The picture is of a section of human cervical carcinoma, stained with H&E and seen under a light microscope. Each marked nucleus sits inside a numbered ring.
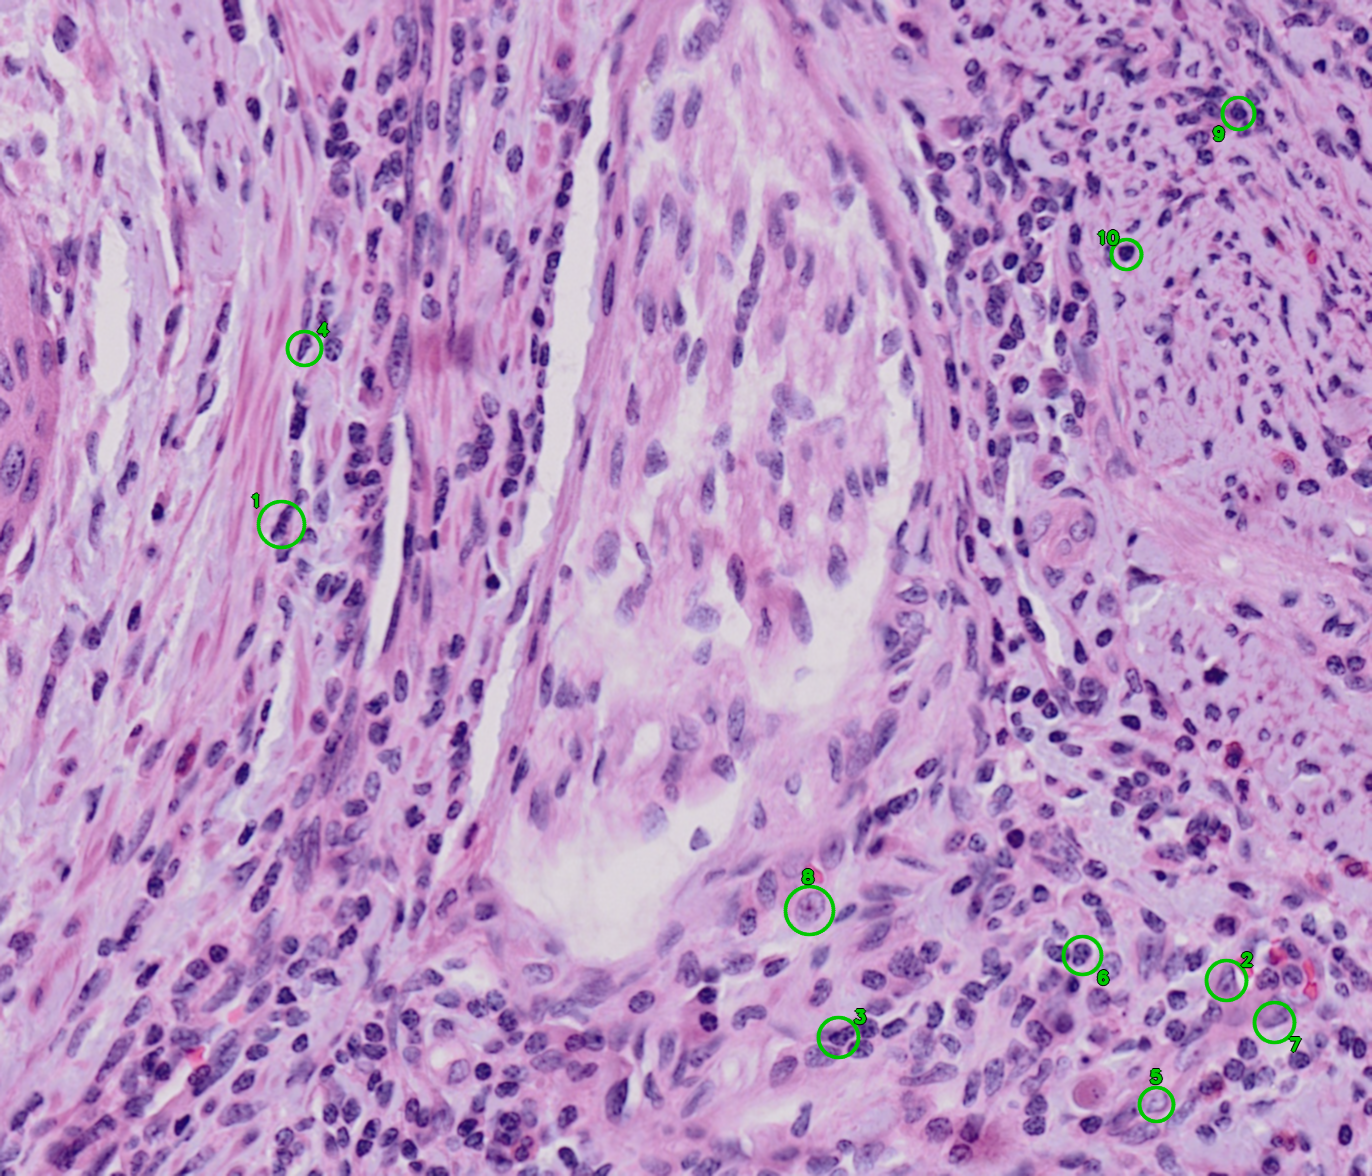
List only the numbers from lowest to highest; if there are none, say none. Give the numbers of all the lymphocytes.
1, 3, 4, 6, 9, 10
